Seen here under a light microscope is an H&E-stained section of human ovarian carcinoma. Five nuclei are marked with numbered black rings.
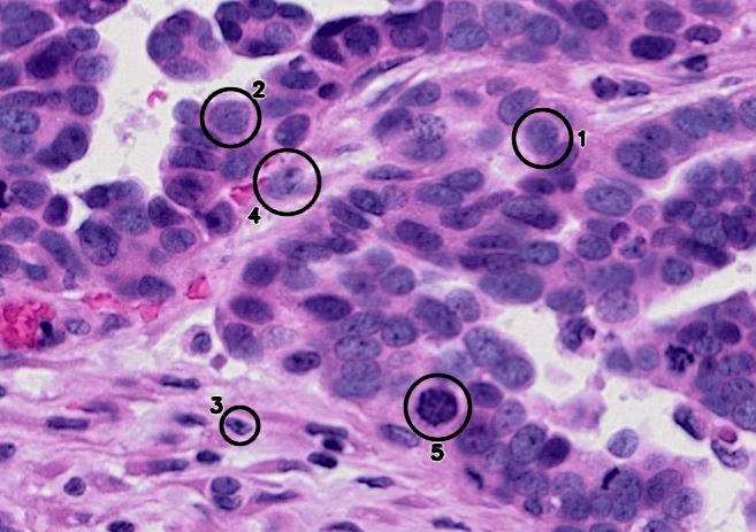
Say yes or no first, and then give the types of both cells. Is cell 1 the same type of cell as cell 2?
Yes, cells 1 and 2 are both carcinoma cells and thus of one type.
